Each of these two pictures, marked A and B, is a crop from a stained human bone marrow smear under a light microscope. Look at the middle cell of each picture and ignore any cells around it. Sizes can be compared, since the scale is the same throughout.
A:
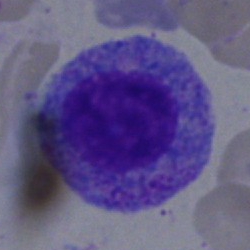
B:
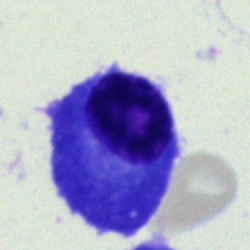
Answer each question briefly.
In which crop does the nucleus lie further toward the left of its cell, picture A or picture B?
A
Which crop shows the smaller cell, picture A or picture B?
B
